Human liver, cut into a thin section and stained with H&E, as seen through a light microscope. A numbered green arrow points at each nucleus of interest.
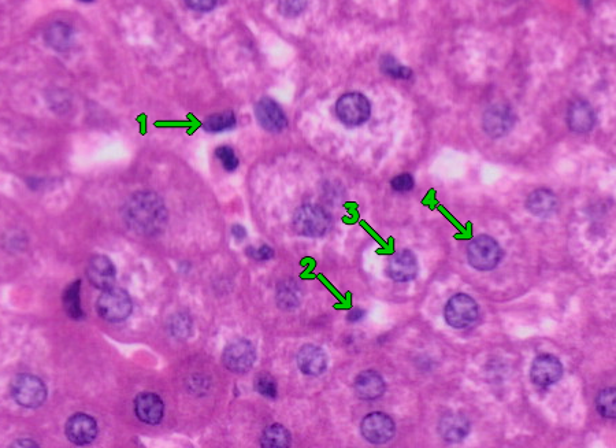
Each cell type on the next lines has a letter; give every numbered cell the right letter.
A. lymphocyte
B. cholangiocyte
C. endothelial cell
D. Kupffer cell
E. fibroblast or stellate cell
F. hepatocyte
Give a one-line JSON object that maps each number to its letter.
{"1": "C", "2": "A", "3": "F", "4": "F"}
